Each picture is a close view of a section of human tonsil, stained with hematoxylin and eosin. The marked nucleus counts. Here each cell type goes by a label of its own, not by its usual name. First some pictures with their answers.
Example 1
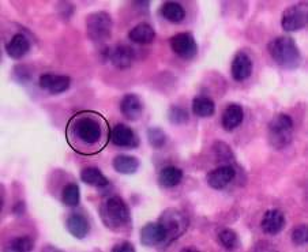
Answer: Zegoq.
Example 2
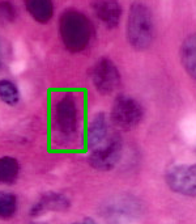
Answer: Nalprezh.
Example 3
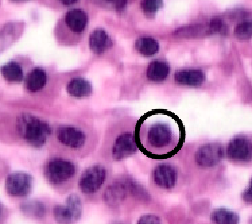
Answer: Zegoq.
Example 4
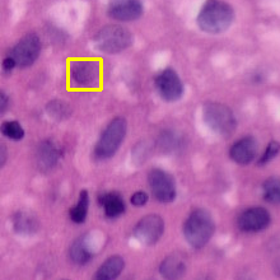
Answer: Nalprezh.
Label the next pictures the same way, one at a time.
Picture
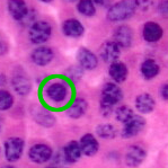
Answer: Zegoq.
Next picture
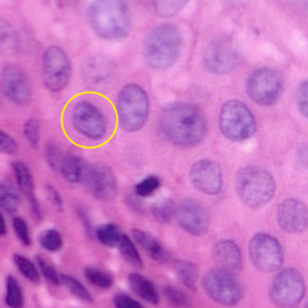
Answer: Nalprezh.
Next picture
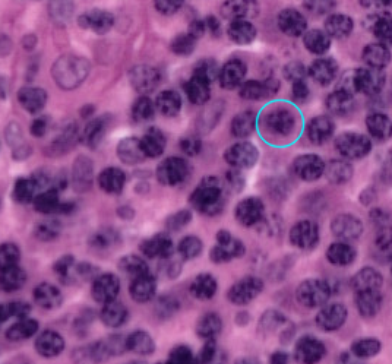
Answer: Zegoq.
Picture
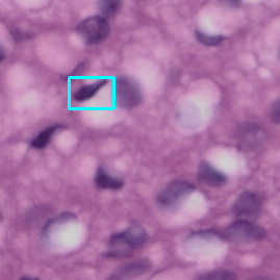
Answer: Nalprezh.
